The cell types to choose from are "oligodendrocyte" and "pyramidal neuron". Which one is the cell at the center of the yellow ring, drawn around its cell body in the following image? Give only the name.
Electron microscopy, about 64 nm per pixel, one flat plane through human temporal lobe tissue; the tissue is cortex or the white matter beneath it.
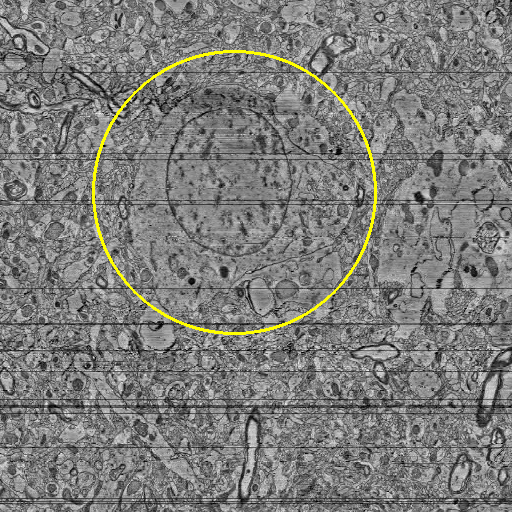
pyramidal neuron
